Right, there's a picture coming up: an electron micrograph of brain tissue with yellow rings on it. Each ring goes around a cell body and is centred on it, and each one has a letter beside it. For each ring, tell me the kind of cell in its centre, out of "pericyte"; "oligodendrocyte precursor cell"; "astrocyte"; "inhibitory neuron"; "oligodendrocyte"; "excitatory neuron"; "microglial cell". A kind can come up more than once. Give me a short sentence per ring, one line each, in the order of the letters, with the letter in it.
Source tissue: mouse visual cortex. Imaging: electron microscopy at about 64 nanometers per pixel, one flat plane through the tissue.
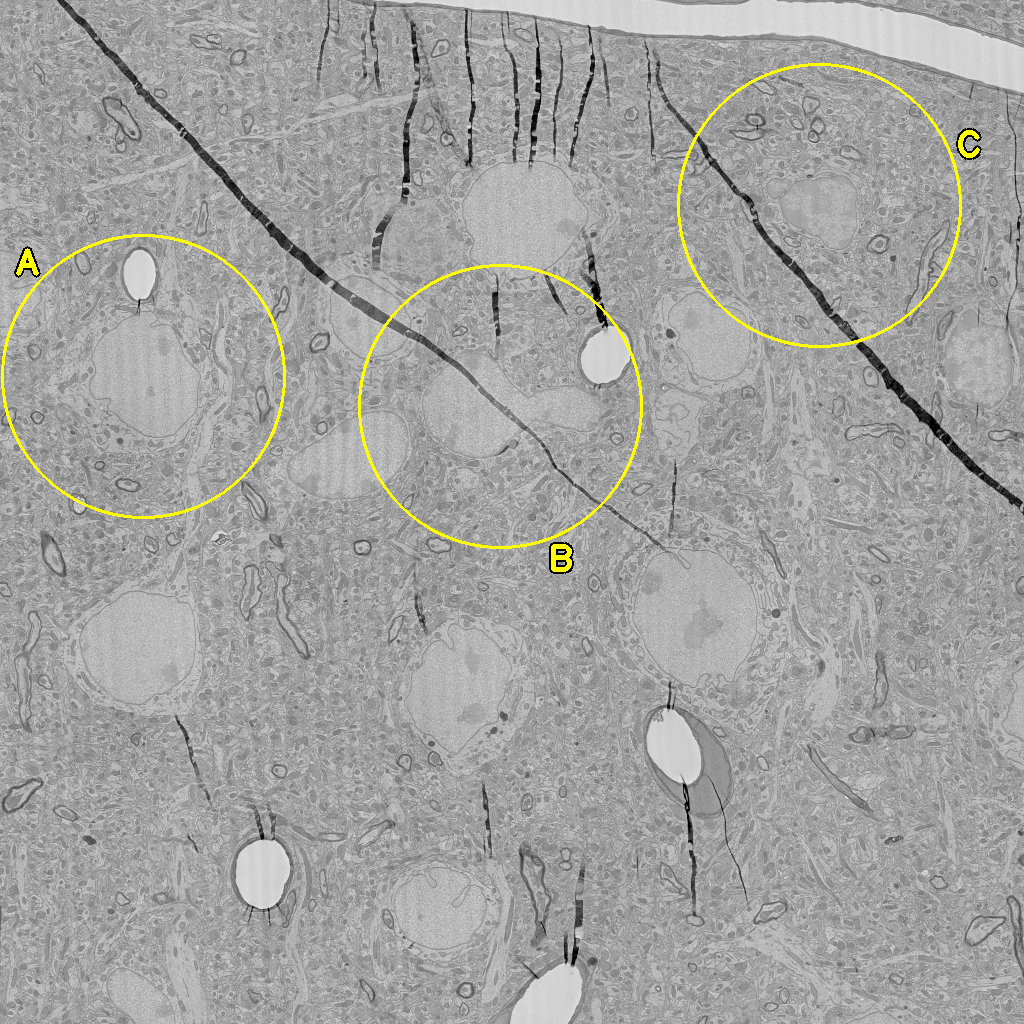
That's an excitatory neuron in ring A.
That's an astrocyte in ring B.
That's a microglial cell in ring C.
